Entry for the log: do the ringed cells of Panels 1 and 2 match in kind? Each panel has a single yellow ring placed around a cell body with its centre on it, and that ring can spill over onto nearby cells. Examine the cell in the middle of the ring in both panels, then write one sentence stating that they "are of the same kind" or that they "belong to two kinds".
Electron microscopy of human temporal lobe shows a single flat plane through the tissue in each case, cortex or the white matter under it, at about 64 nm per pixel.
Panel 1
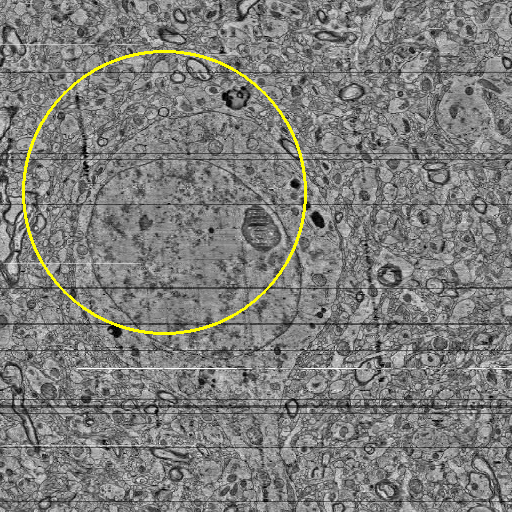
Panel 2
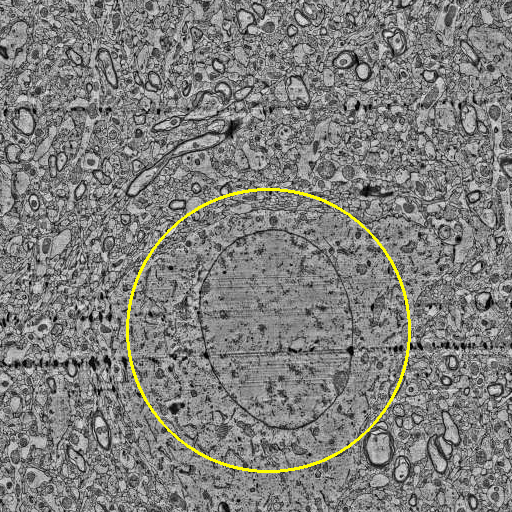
The centre cell of Panel 1's ring and that of Panel 2's ring are of the same kind.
